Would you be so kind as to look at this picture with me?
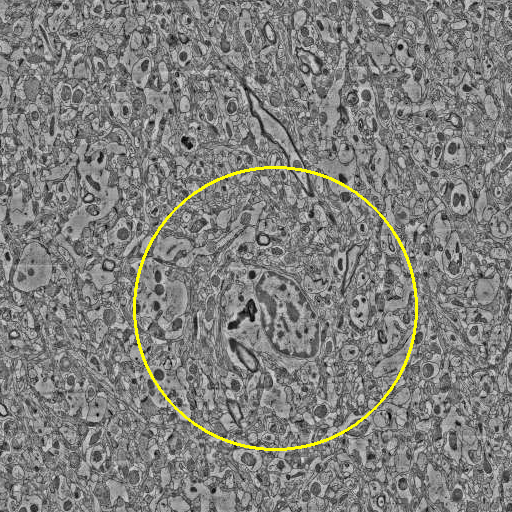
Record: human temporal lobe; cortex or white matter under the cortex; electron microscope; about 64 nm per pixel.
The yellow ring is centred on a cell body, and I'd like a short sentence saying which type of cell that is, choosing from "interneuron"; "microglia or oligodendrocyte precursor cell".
The cell body in the ring belongs to a microglial cell or oligodendrocyte precursor cell.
